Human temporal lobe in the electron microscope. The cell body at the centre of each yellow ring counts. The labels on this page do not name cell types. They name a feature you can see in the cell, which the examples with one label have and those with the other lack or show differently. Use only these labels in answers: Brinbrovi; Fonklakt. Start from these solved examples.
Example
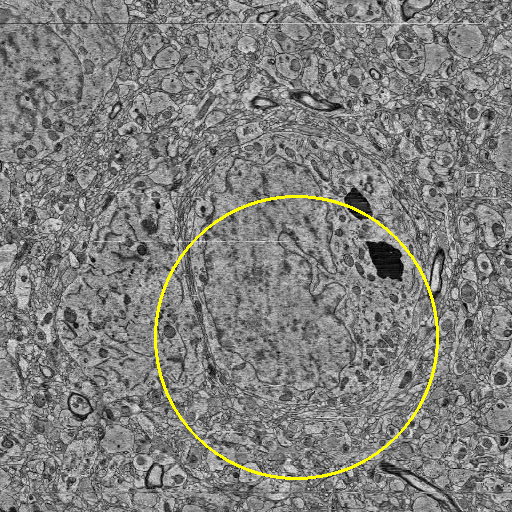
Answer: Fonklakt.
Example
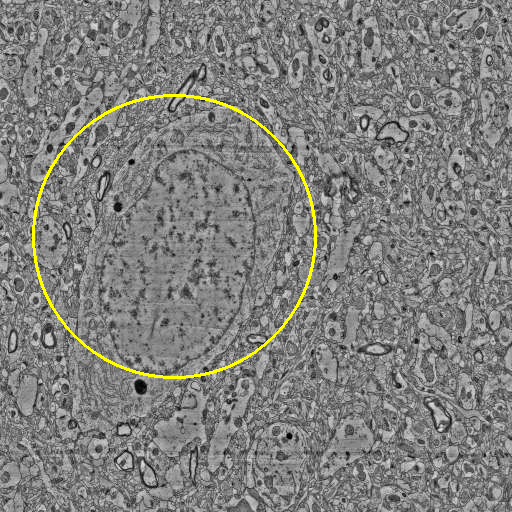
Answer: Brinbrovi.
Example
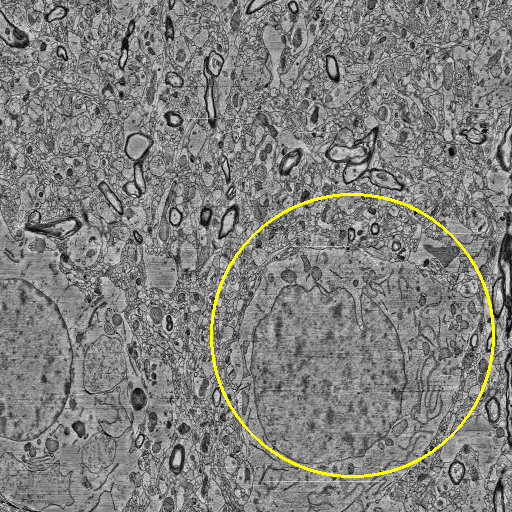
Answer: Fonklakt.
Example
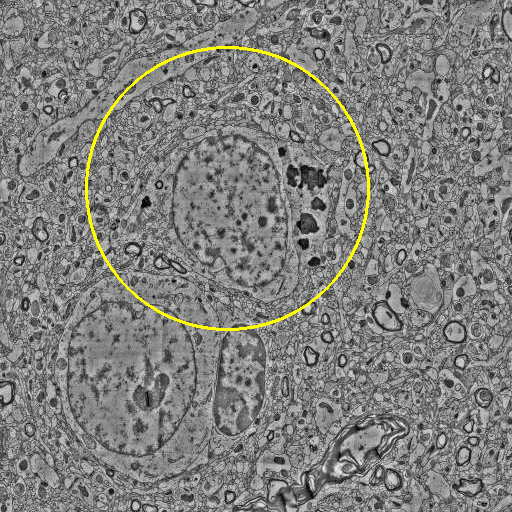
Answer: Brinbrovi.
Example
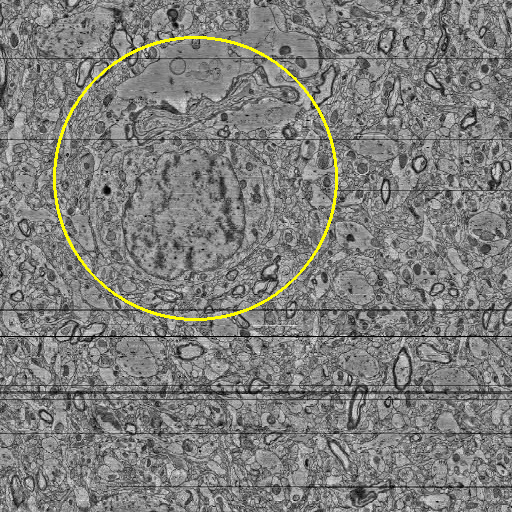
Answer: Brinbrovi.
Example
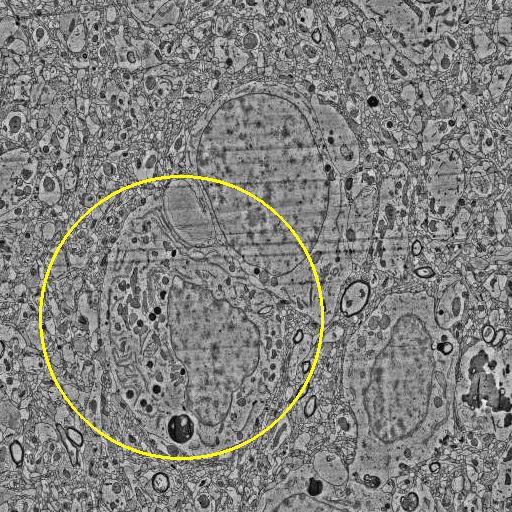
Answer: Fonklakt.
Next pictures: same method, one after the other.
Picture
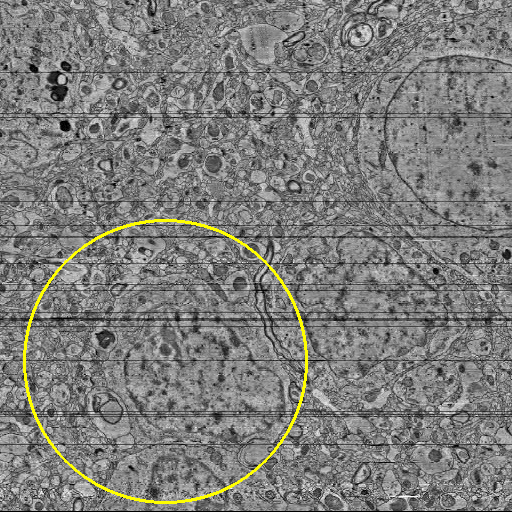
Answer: Brinbrovi.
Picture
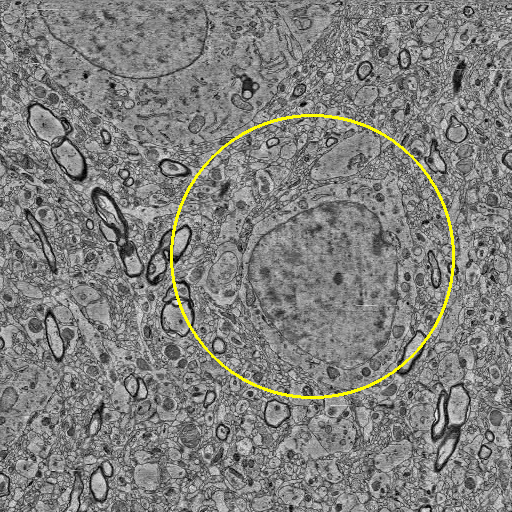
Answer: Brinbrovi.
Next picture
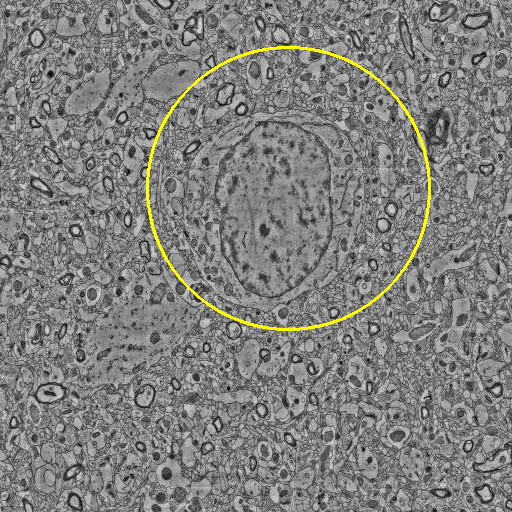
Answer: Brinbrovi.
